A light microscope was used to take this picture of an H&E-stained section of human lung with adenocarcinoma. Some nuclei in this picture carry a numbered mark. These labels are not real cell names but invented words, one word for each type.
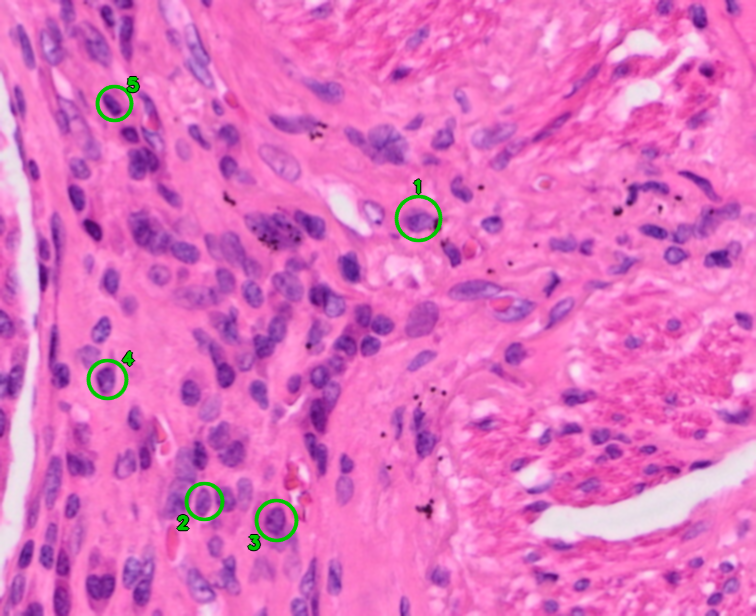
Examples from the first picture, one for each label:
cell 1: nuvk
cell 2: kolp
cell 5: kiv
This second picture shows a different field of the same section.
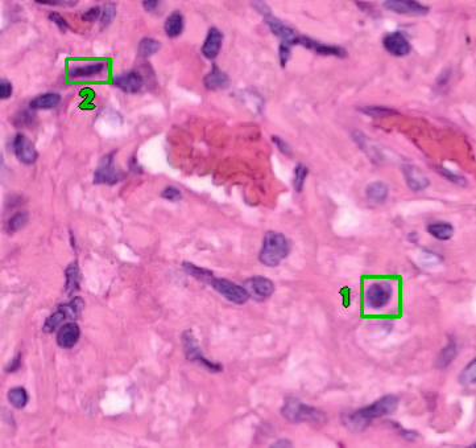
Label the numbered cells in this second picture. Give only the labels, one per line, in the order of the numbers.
kolp
kiv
